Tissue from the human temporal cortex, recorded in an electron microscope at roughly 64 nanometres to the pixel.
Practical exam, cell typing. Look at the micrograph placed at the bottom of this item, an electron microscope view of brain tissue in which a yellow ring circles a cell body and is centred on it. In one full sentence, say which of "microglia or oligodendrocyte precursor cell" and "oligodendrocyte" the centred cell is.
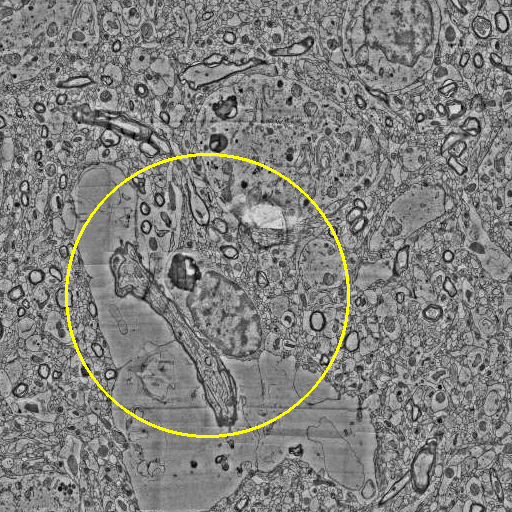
Given the options, an oligodendrocyte fits the cell whose body the yellow ring is centred on.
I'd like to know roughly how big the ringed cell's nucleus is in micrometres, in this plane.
In this plane, roughly 6 by 4 micrometres.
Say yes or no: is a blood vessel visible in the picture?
Yes, there is one.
